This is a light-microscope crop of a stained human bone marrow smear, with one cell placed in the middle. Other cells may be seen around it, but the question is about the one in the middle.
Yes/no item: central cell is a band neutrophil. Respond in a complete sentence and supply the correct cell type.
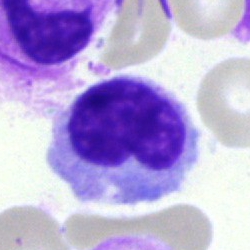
No, the centre cell is not a band neutrophil but a monocyte.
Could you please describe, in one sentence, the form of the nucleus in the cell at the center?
The cell carries one compact nucleus shaped round, oval or like a kidney.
